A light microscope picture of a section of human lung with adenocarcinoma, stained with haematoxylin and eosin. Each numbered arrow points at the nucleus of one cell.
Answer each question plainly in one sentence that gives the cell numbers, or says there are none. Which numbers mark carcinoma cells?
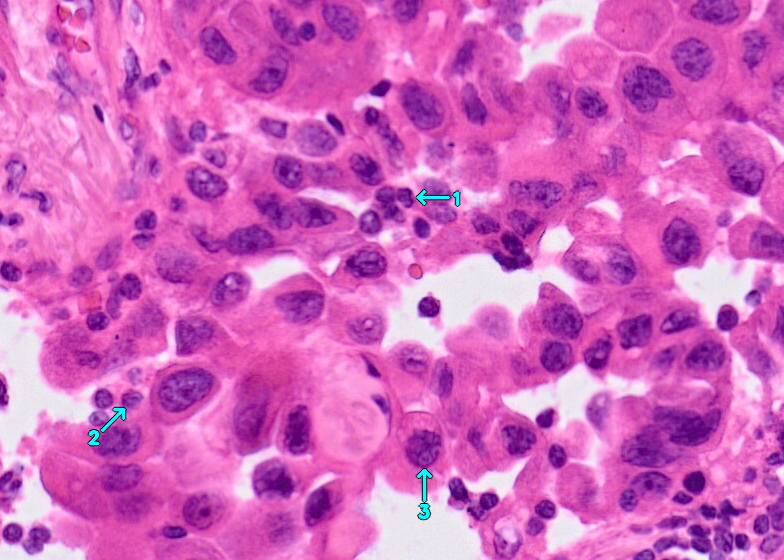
The numbered cells include exactly one that is a carcinoma cell, which is cell 3.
